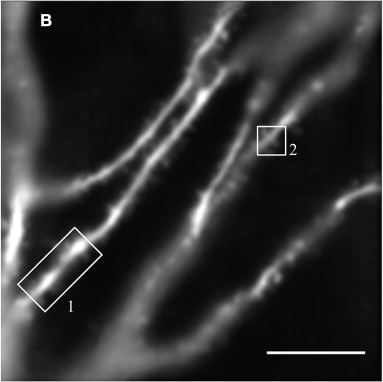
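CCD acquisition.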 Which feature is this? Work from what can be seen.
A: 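Dendritic tree. Several thin, roughly parallel branching processes run diagonally across the field. The processes bear small bumps along their length.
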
